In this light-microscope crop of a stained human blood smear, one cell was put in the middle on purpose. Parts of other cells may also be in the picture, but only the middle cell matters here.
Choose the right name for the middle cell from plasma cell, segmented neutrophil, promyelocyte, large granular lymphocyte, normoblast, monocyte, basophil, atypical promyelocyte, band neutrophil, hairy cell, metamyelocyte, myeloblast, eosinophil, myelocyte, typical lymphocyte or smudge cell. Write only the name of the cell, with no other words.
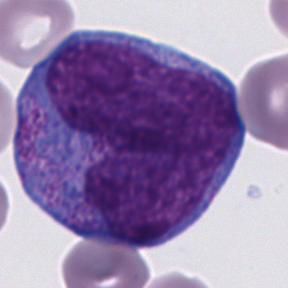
promyelocyte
